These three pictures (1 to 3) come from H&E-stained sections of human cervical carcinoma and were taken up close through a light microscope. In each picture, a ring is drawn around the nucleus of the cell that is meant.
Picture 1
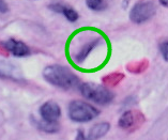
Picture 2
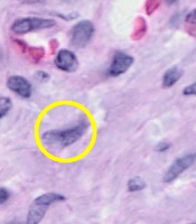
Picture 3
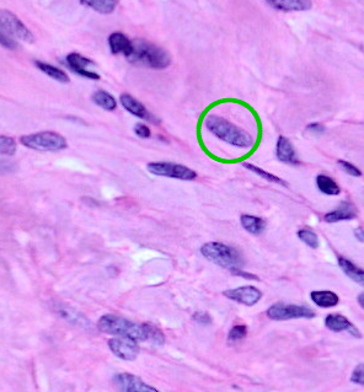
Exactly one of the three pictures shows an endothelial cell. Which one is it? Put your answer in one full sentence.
The endothelial cell is the one in picture 1.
